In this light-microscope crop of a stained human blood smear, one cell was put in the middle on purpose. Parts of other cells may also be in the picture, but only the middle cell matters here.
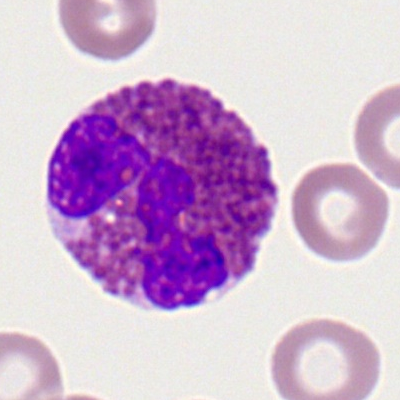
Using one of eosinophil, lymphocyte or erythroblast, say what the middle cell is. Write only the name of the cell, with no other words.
eosinophil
